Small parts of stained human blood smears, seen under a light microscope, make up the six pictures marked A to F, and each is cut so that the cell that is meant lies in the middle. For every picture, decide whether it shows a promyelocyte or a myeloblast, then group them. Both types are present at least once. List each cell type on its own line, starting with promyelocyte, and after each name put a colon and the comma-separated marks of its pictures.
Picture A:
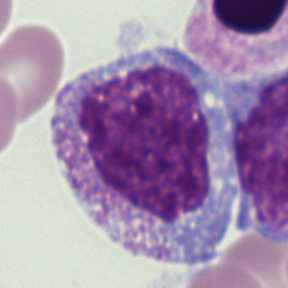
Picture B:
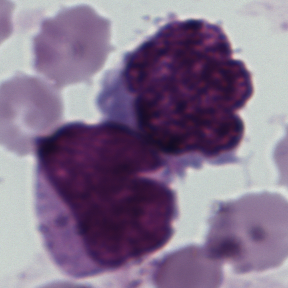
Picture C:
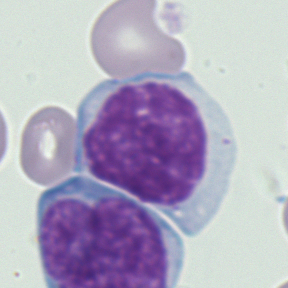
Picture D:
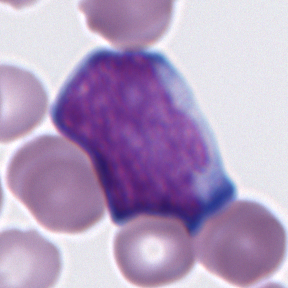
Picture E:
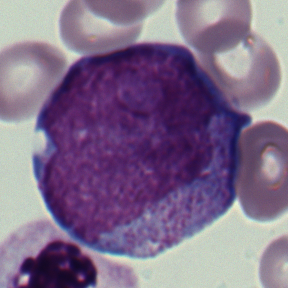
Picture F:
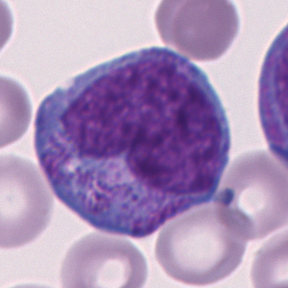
promyelocyte: A, E, F
myeloblast: B, C, D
